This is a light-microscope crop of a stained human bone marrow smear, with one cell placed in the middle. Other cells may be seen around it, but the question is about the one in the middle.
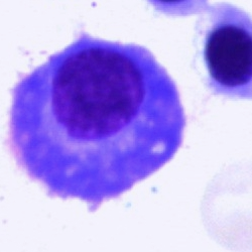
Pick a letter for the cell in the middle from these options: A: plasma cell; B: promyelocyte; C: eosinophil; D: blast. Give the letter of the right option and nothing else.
A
